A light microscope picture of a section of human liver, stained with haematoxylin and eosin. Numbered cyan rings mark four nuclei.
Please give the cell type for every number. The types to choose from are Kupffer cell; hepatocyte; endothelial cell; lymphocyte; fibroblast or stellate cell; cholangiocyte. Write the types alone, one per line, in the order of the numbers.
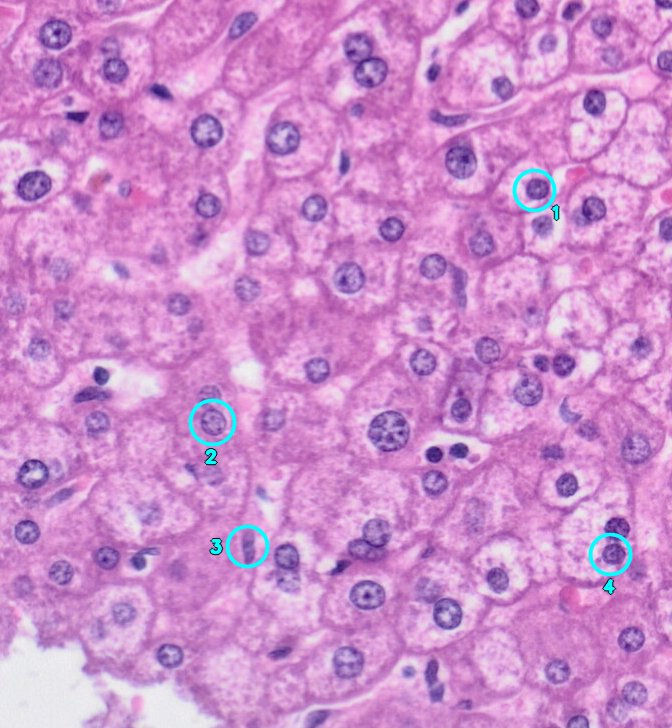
hepatocyte
hepatocyte
Kupffer cell
hepatocyte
